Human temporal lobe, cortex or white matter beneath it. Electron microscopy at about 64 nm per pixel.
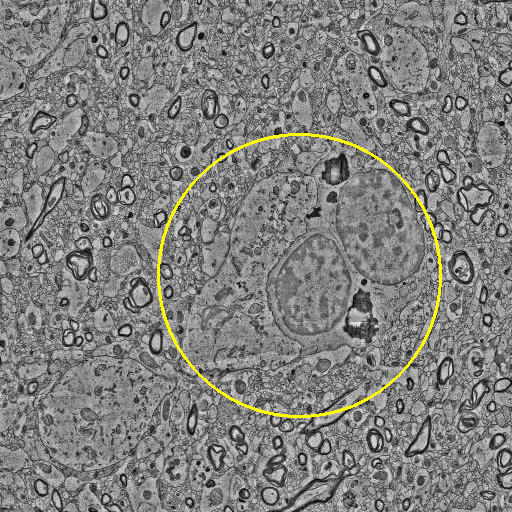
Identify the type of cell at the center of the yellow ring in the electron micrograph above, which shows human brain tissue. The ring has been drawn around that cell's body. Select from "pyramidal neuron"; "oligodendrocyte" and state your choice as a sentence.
The yellow ring is centered on the body of an oligodendrocyte.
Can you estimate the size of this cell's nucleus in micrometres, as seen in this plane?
In this plane the nucleus measures roughly 7 by 5 micrometres.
